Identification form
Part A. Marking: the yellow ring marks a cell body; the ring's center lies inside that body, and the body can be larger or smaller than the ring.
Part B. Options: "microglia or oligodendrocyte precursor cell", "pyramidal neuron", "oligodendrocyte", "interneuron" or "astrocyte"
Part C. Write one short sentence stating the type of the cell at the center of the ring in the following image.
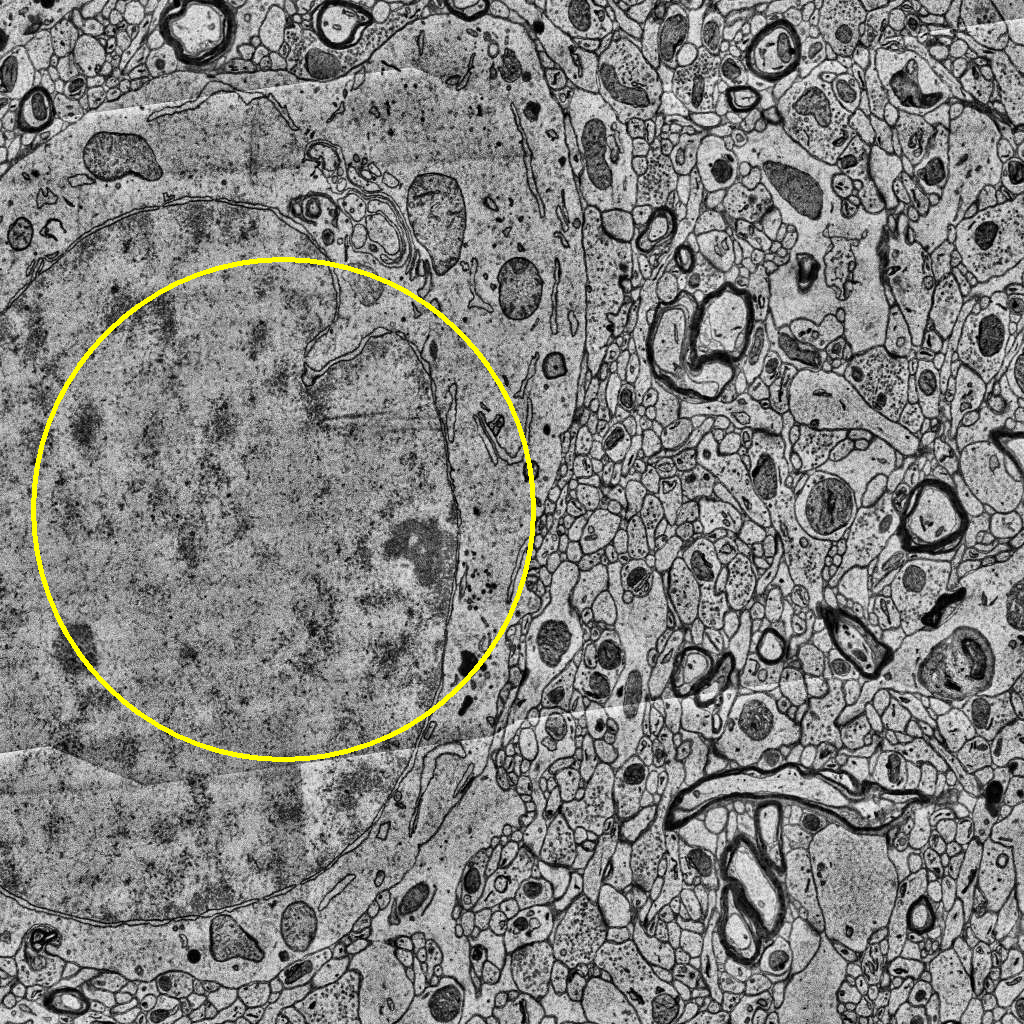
The center of the ring holds an interneuron.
